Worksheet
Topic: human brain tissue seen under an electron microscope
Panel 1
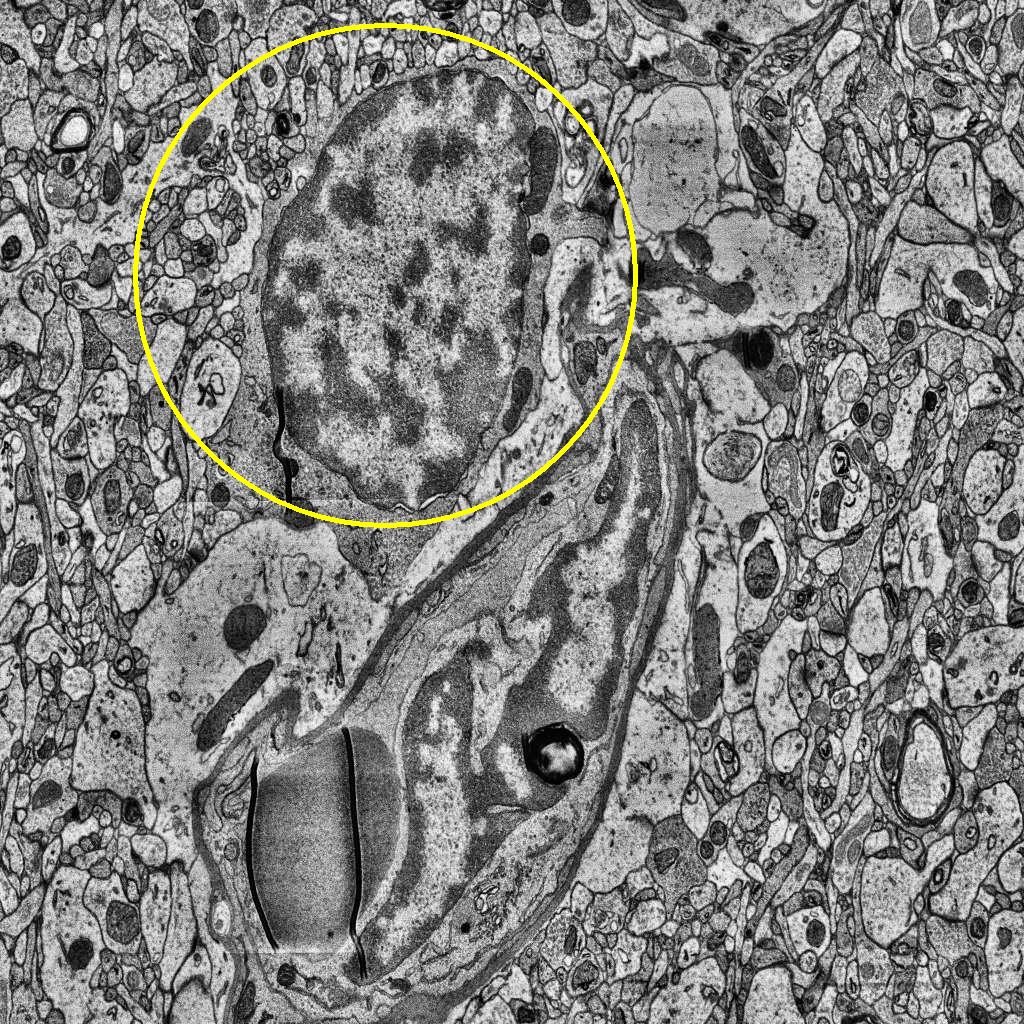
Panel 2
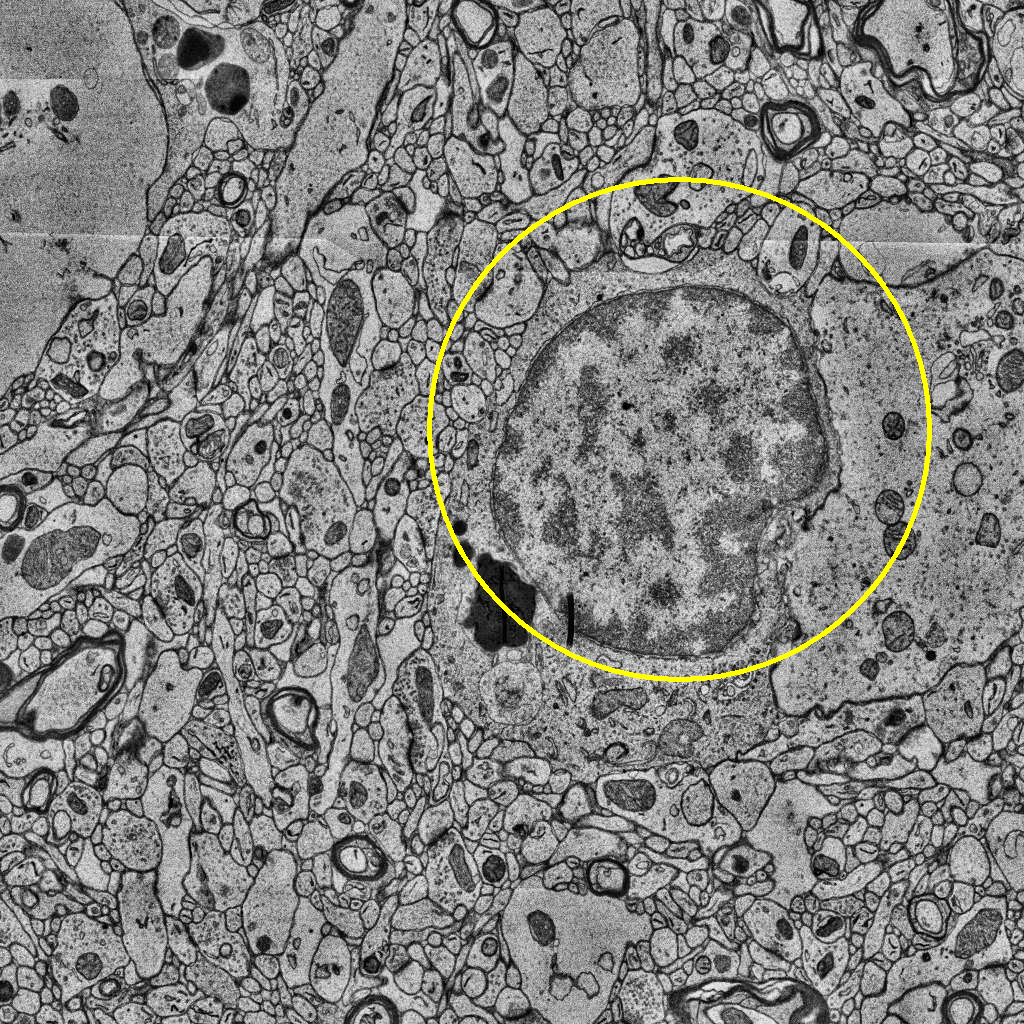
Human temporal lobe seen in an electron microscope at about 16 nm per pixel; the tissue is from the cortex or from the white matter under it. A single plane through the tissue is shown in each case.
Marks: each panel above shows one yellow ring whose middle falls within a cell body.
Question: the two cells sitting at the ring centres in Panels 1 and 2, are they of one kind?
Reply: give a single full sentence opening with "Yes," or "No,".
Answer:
Yes, the two cells at the ring centres in Panel 1 and Panel 2 are of one kind.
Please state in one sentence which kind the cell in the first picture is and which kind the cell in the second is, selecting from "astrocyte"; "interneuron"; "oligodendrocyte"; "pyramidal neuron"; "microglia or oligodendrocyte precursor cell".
Both rings mark an oligodendrocyte, one in each picture.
